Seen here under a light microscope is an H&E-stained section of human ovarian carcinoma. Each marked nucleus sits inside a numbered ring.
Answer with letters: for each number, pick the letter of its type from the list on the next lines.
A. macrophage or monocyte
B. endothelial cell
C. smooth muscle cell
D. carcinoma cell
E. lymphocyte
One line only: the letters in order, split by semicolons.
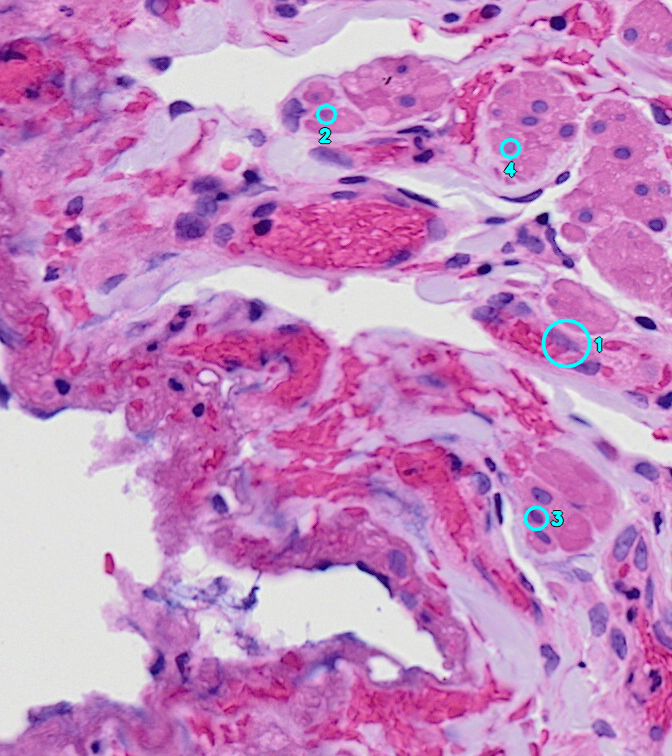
B; C; C; C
